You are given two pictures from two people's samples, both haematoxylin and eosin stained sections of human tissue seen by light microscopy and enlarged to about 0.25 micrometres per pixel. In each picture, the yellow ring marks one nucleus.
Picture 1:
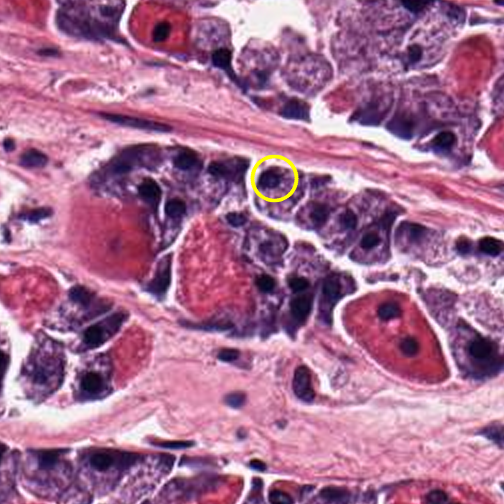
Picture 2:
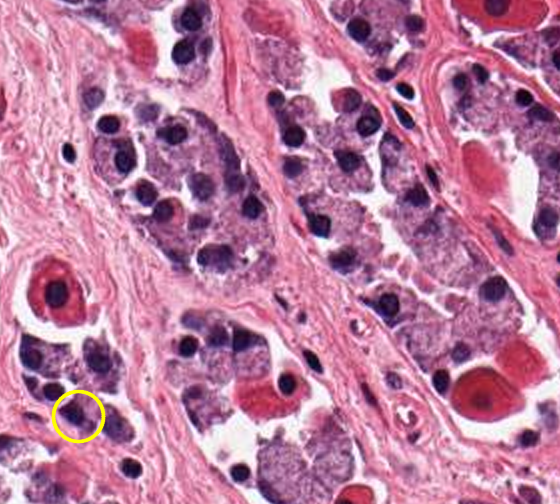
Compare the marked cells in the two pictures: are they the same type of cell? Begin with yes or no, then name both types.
Yes, both are chief cells.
